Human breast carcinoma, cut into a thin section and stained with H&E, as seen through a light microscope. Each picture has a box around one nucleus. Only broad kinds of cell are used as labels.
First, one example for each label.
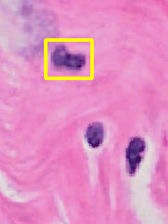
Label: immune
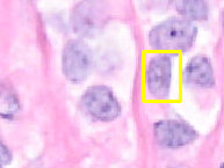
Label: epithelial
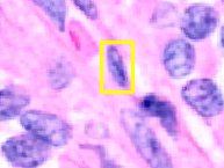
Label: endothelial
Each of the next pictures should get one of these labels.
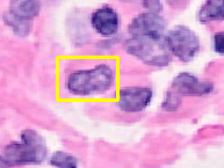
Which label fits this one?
epithelial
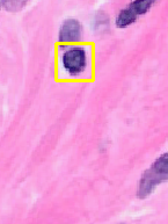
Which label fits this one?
immune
